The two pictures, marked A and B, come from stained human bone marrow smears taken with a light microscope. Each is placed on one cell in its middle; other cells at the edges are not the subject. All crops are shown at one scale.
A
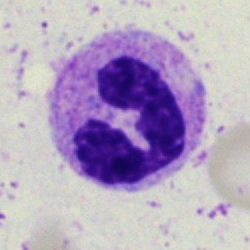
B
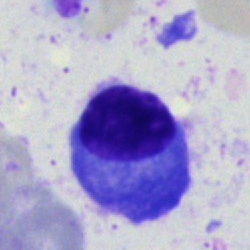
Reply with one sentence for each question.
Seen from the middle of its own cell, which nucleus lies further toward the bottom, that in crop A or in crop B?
The nucleus in crop A lies further toward the bottom of its cell.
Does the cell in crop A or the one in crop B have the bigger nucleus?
The nucleus in crop A is larger, with about 1.5 times the area of the one in crop B.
